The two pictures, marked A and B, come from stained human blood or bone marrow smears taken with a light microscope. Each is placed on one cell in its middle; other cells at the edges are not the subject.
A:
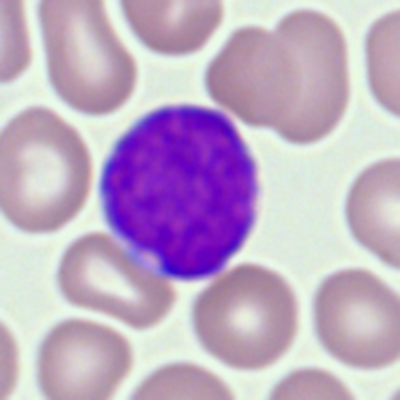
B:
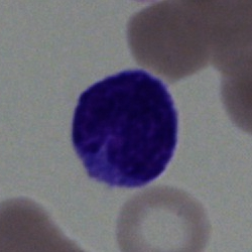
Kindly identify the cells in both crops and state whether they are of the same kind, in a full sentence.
No, the cell that crop A shows is a blast, and the one crop B shows is a lymphocyte.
